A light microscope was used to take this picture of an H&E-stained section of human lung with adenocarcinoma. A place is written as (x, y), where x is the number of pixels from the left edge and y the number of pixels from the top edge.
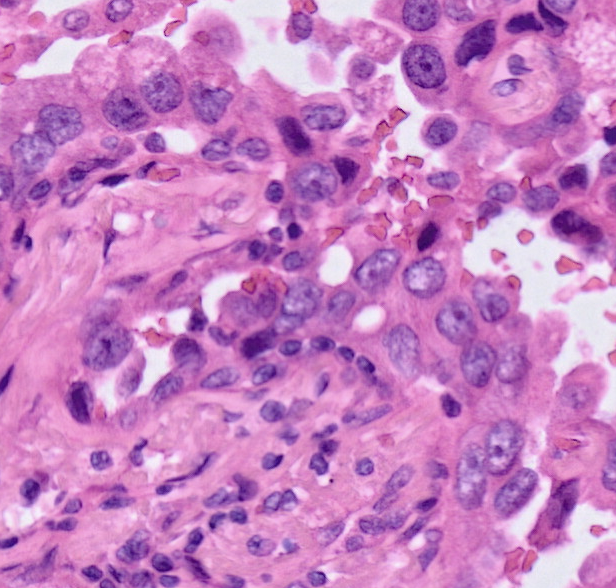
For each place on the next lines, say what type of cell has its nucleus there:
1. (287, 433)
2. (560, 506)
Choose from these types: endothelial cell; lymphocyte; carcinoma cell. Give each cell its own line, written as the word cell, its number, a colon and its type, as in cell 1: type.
cell 1: lymphocyte
cell 2: carcinoma cell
